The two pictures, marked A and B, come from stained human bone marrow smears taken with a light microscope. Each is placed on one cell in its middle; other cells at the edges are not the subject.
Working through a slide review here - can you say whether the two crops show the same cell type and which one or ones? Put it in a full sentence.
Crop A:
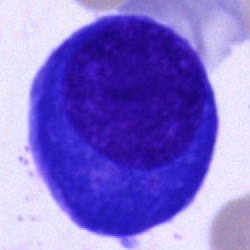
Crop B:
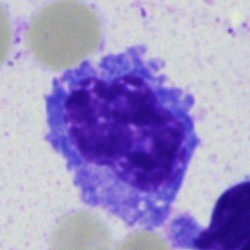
Yes, plasma cells are seen in both crops.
